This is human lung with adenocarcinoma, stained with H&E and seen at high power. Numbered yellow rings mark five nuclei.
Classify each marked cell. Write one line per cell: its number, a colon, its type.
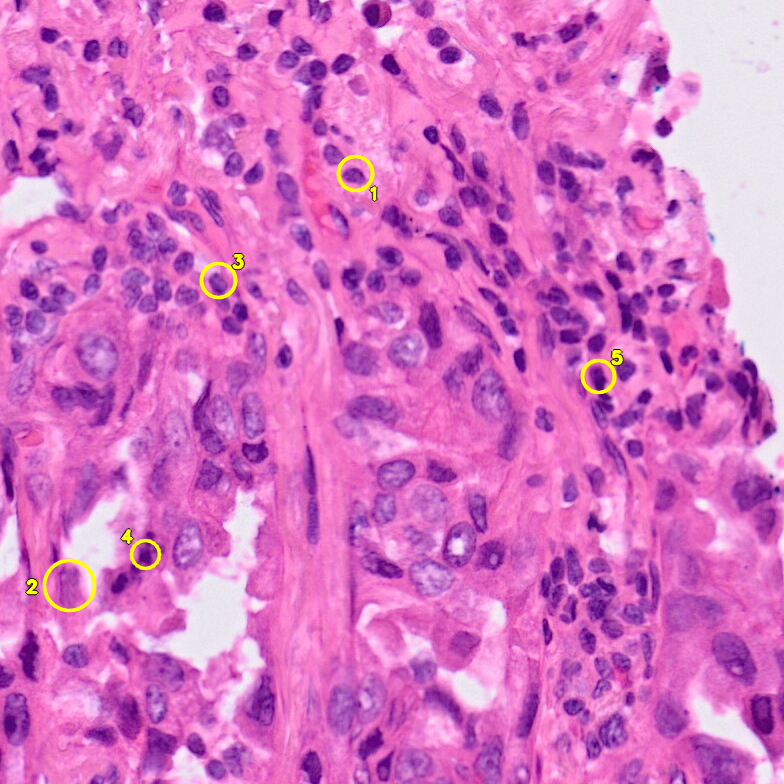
1: lymphocyte
2: carcinoma cell
3: lymphocyte
4: carcinoma cell
5: lymphocyte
